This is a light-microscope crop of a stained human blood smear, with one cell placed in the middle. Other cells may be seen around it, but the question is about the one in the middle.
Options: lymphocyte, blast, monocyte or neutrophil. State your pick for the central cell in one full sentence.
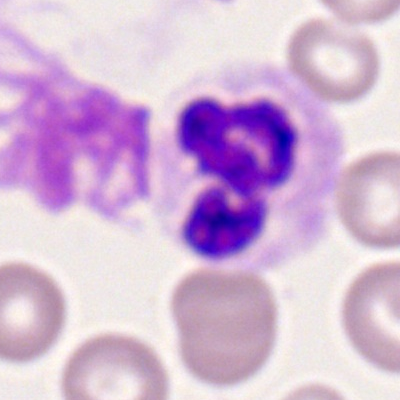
Centrally within this crop lies a neutrophil.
